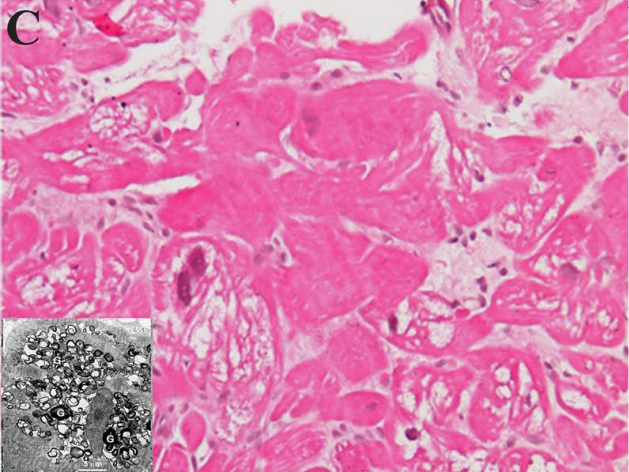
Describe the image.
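Scattered among them are enlarged vacuolated cells with pale, clear, net-like cytoplasm. The inset electron micrograph is crowded with many small, dark, layered myelin bodies.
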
